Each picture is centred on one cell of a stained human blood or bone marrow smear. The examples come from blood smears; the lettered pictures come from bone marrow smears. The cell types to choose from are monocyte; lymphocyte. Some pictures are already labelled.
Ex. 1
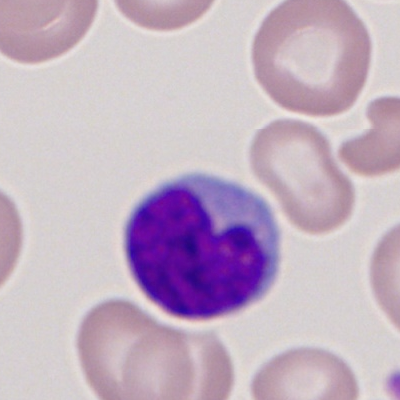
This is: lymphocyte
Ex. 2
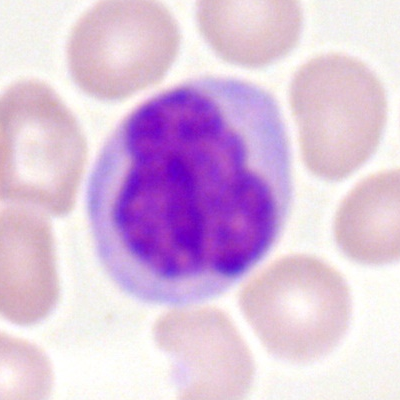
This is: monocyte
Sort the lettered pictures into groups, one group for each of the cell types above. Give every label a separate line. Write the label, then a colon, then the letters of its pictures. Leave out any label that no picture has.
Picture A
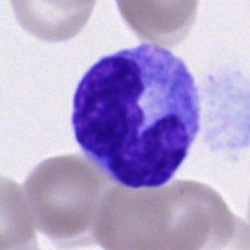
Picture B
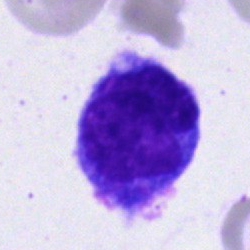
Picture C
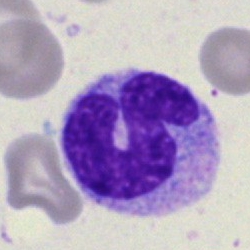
monocyte: A, B, C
